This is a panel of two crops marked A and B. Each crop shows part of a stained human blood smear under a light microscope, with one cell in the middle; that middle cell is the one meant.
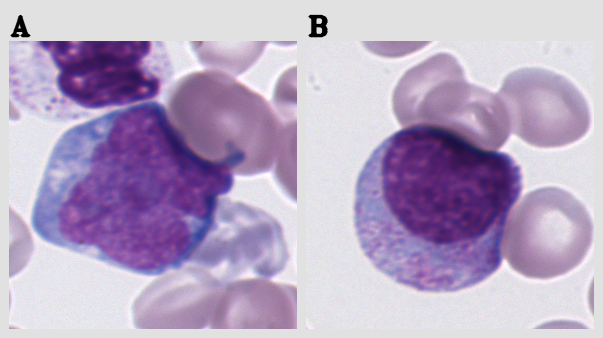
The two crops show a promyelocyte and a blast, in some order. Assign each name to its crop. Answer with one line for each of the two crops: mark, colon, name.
A: blast
B: promyelocyte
